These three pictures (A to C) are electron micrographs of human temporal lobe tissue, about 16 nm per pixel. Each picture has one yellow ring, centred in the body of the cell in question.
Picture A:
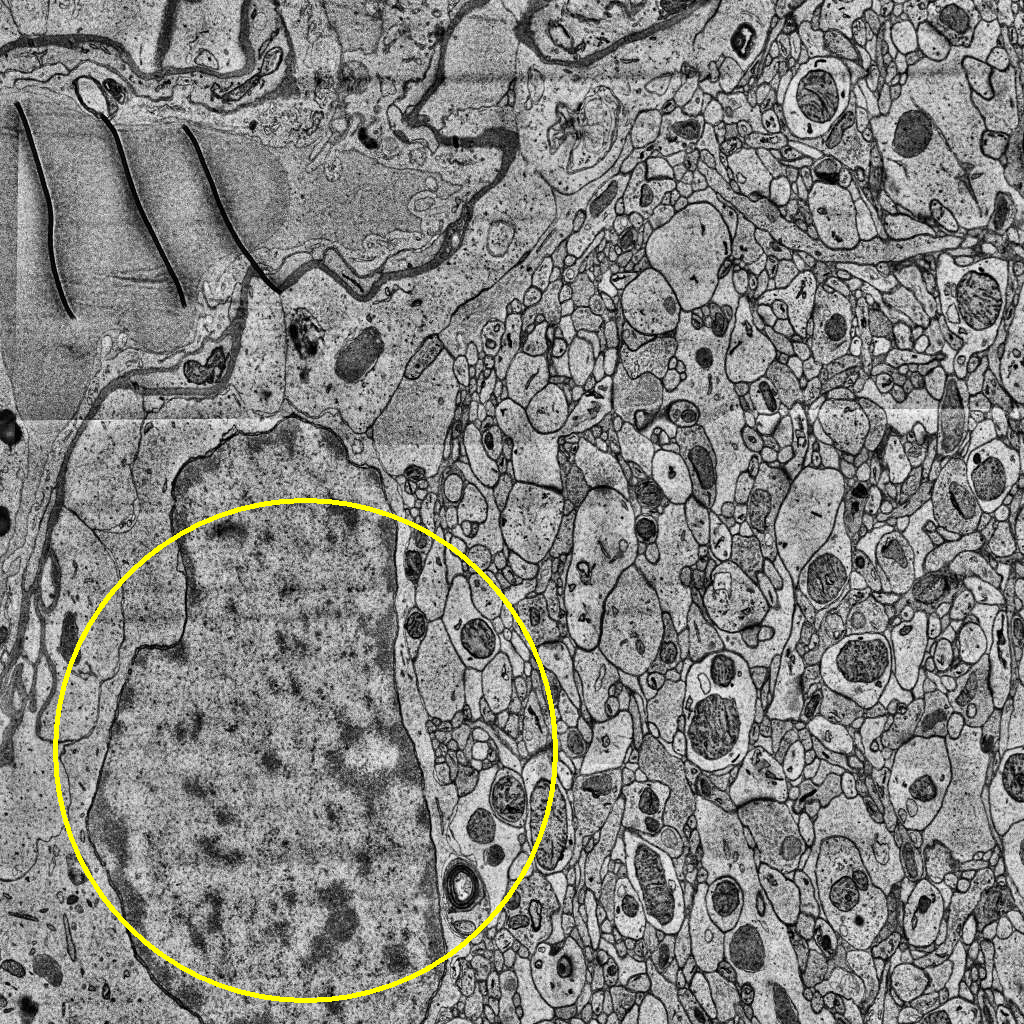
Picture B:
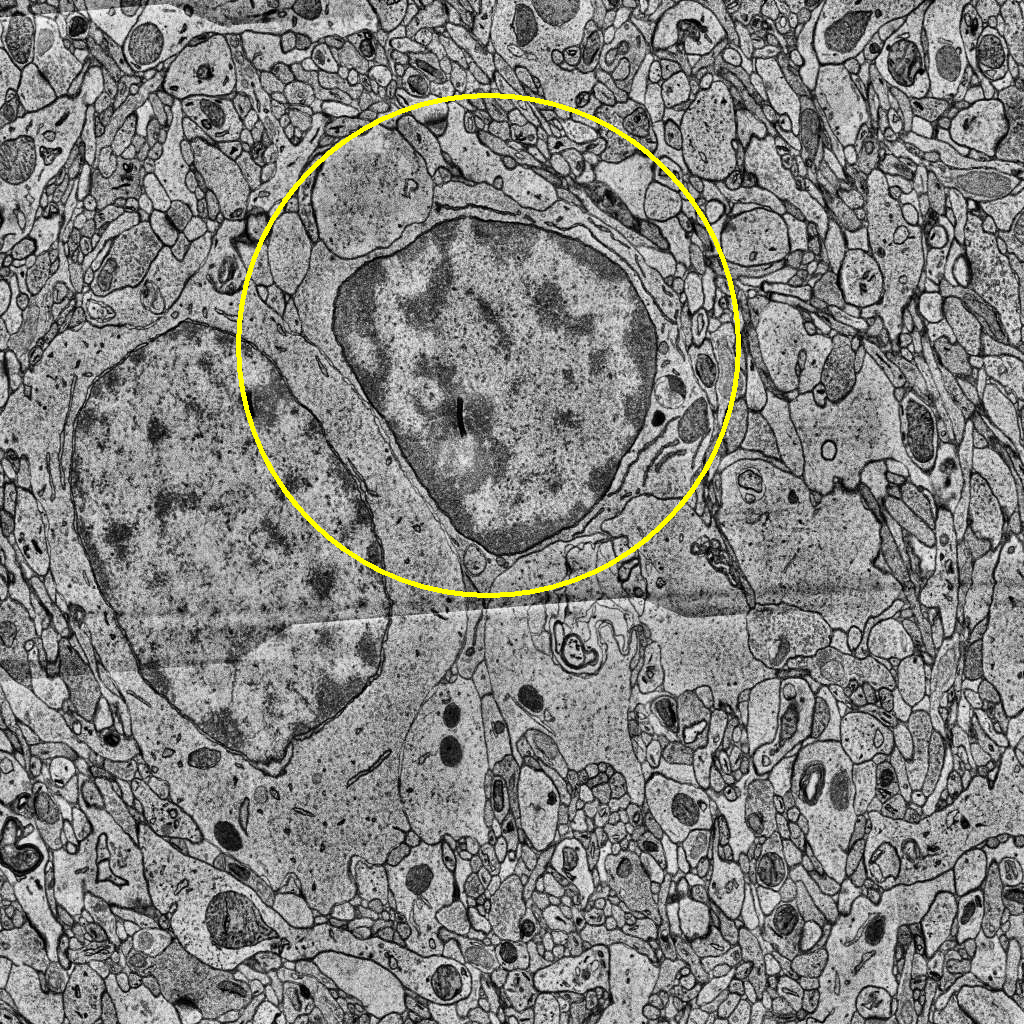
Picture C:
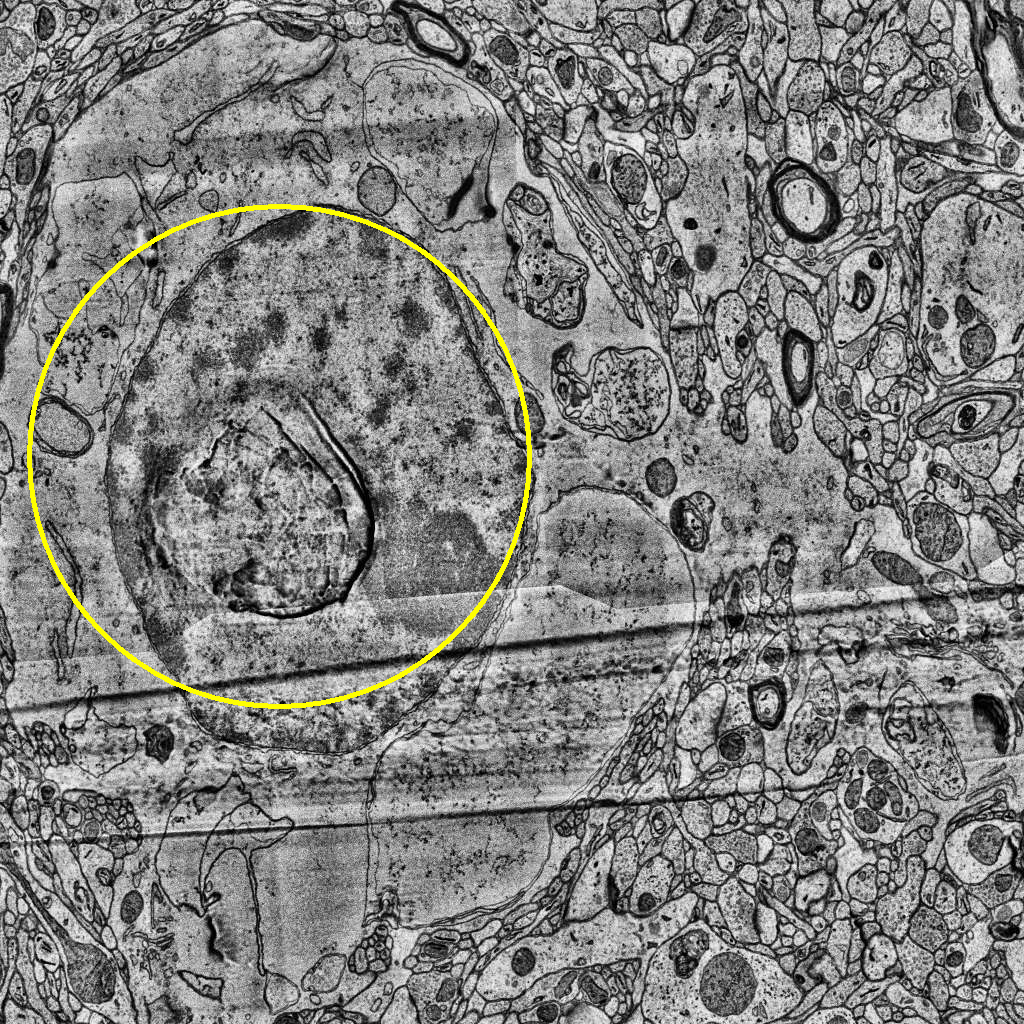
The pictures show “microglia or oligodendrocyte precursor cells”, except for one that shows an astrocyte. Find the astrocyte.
Picture C is the one that shows the astrocyte.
